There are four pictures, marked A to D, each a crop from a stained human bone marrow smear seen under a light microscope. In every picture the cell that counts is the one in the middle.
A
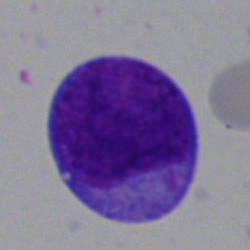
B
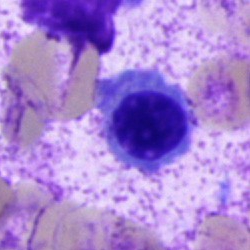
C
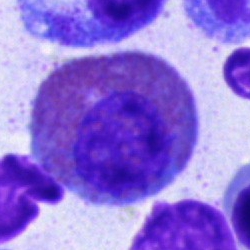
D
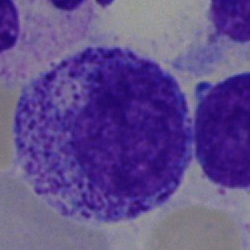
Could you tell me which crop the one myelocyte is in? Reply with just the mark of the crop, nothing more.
D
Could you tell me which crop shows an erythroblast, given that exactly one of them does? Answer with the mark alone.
B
